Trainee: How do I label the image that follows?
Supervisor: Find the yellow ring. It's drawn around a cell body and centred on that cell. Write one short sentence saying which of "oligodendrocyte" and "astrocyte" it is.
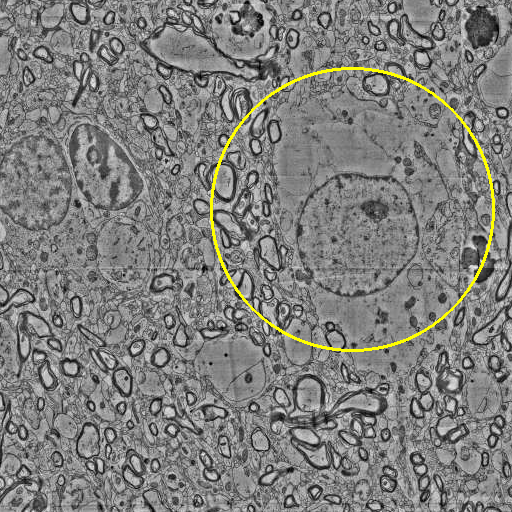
This is the cell body of an astrocyte.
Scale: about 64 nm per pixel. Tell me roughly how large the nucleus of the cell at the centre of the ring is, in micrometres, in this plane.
The nucleus of the ringed cell is approximately 8 micrometres across in this plane.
